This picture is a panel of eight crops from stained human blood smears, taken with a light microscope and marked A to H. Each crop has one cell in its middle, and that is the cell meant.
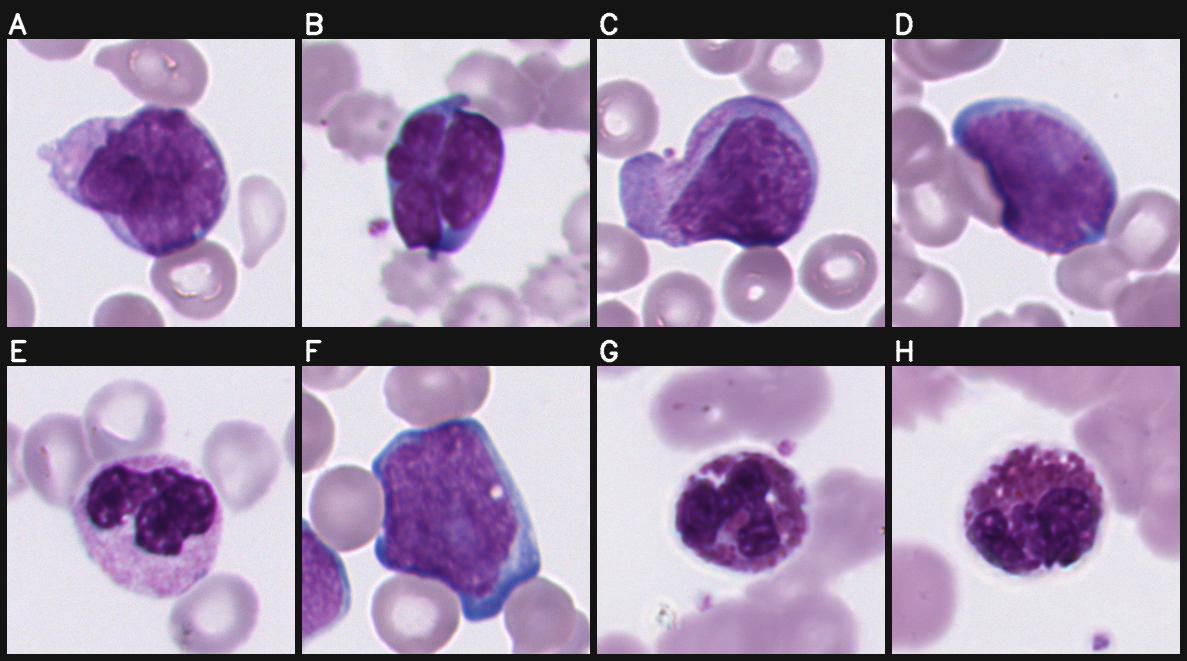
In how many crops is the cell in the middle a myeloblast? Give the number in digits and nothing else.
2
